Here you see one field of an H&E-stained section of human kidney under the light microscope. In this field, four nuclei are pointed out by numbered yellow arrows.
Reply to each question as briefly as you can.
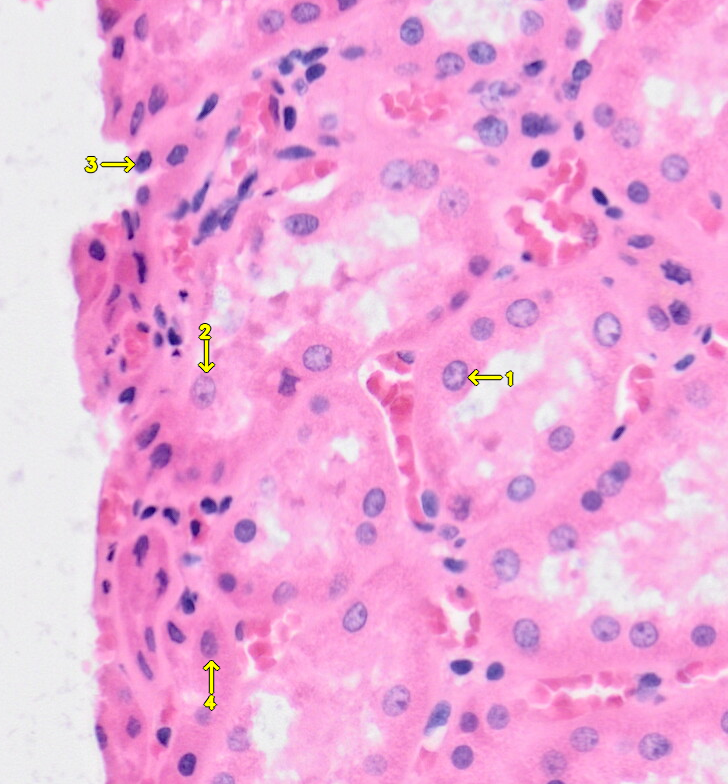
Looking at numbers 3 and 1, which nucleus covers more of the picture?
1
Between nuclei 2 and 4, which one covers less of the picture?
4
